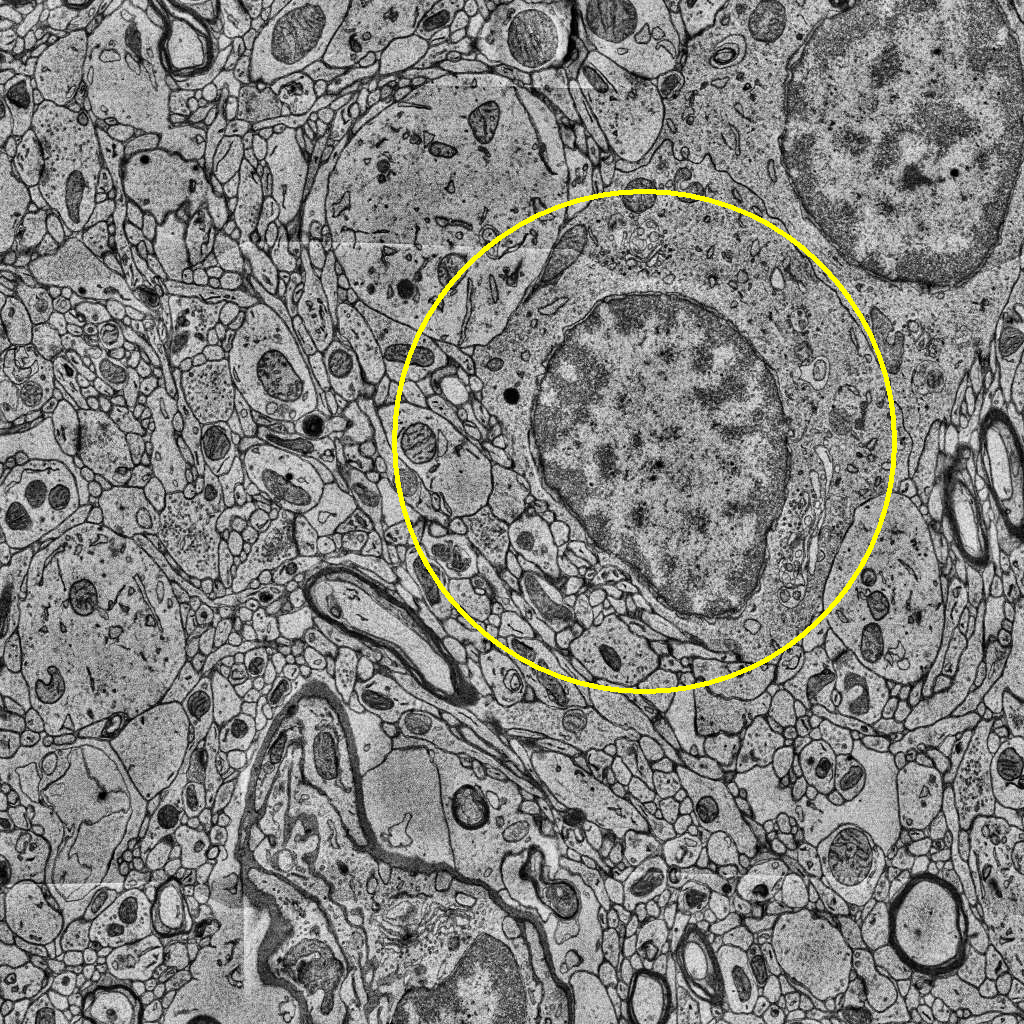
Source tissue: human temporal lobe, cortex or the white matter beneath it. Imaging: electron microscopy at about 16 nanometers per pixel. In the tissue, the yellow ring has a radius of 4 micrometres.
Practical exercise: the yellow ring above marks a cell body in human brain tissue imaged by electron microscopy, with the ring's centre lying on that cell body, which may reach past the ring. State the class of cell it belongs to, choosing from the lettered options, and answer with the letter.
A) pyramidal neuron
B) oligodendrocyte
B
